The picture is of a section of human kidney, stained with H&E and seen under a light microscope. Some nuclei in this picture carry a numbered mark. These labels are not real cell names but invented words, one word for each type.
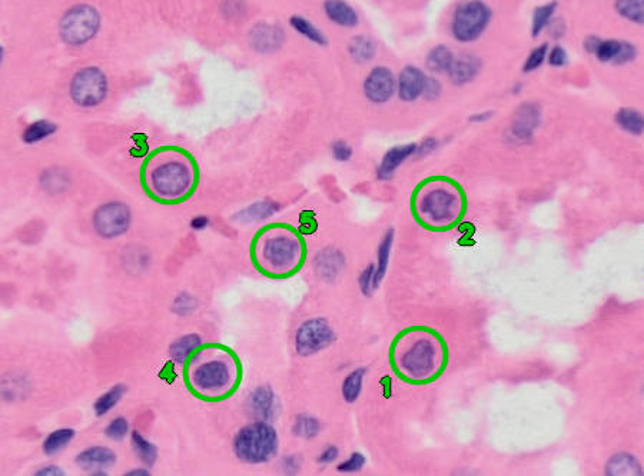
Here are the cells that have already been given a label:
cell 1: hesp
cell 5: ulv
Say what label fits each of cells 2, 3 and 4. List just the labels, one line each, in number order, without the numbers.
hesp
hesp
ulv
